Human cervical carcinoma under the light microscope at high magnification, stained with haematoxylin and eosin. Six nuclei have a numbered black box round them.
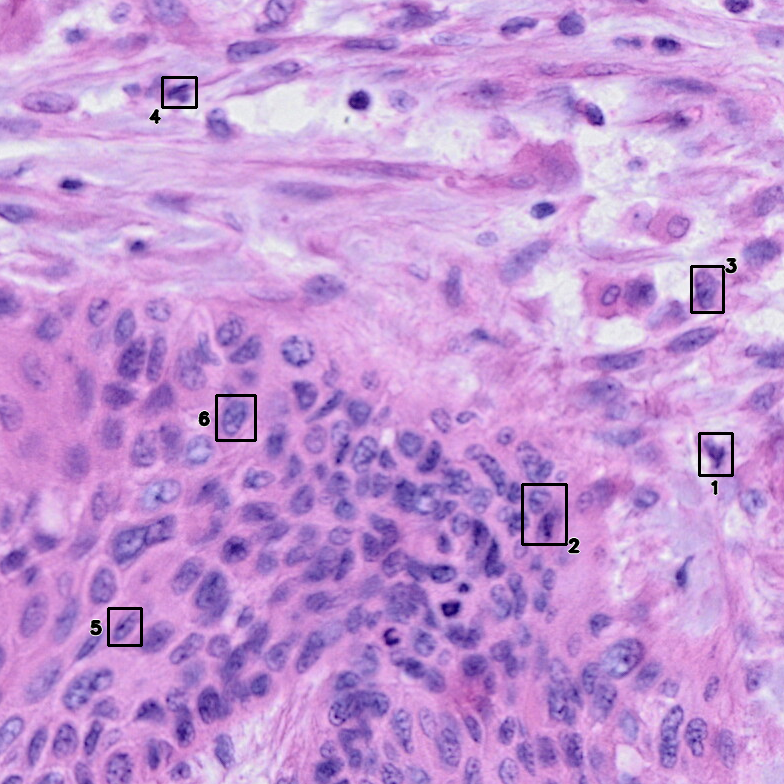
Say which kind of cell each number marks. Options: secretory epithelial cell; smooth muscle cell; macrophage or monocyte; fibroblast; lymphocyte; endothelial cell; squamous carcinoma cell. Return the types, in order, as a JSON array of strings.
["macrophage or monocyte", "squamous carcinoma cell", "macrophage or monocyte", "lymphocyte", "squamous carcinoma cell", "squamous carcinoma cell"]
